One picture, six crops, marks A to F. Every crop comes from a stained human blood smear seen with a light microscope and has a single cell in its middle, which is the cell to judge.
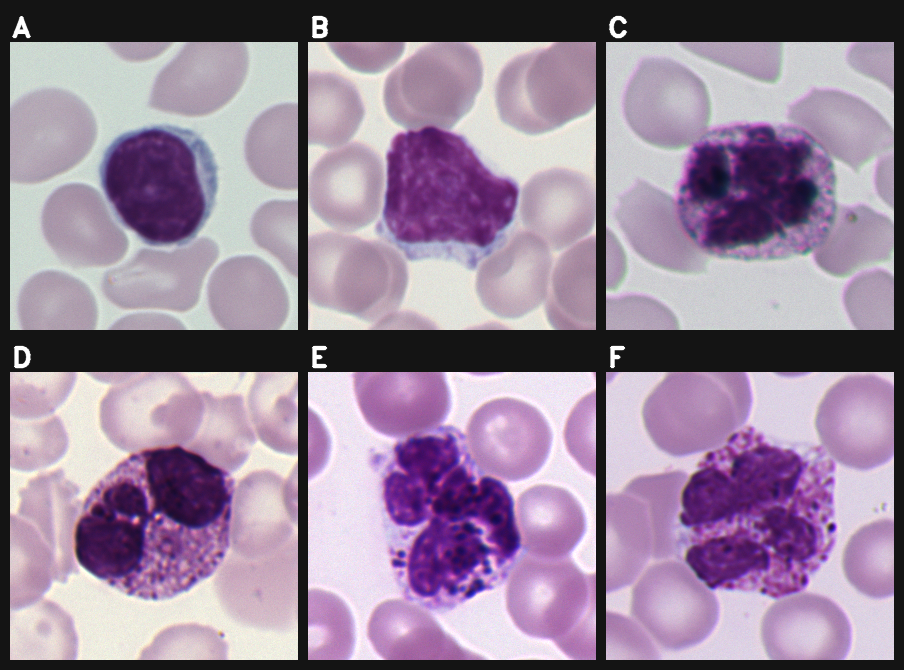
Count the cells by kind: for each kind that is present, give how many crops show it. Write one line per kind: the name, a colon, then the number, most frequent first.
basophil: 4
lymphocyte: 2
